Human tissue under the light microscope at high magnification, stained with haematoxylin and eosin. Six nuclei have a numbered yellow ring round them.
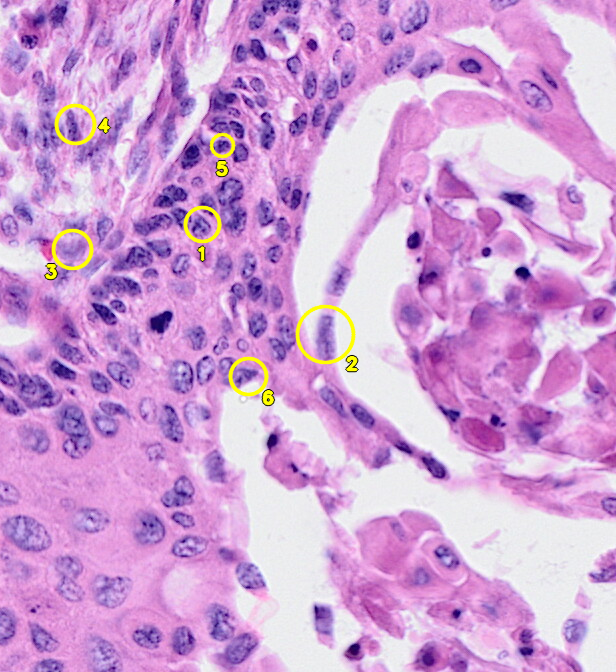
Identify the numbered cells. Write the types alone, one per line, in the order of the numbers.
squamous carcinoma cell
squamous carcinoma cell
endothelial cell
fibroblast
squamous carcinoma cell
squamous carcinoma cell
